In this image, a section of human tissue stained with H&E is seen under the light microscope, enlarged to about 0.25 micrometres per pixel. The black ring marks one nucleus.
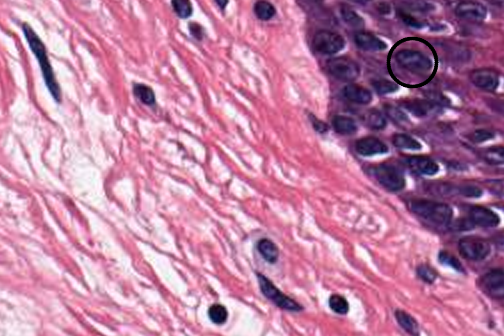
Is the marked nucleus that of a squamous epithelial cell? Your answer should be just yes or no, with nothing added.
yes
